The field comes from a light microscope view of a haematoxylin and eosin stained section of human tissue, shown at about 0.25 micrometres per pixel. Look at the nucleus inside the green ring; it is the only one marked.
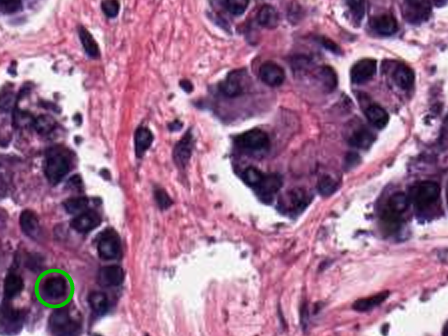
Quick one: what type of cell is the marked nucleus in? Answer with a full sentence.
What is marked is the nucleus of a pancreatic acinar cell.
